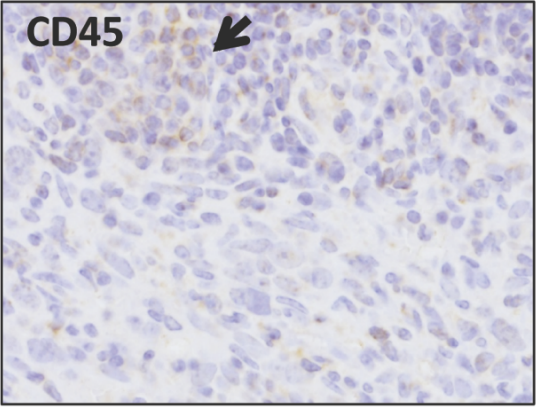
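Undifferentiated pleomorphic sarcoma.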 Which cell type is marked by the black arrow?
Small mature lymphocytes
